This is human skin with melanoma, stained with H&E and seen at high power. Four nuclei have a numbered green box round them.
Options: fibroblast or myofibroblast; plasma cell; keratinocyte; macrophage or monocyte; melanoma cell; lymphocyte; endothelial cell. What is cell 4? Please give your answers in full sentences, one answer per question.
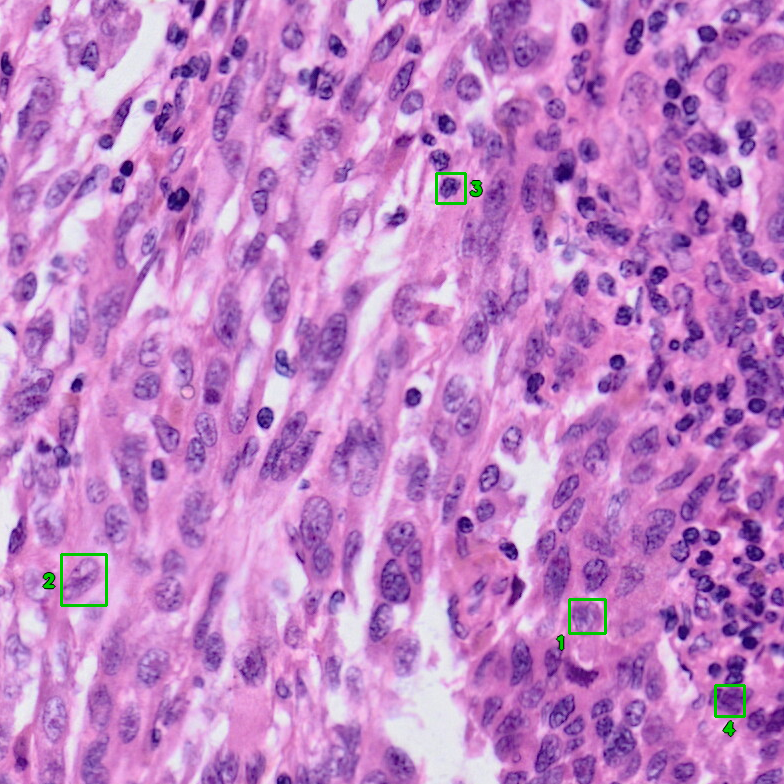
The mark numbered 4 indicates the nucleus of a melanoma cell.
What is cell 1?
The cell numbered 1 has been identified as a melanoma cell.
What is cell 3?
Of the numbered cells, the one labelled 3 is a lymphocyte.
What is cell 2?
Cell 2, among those numbered, is a melanoma cell.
